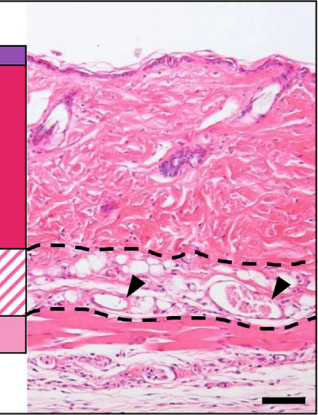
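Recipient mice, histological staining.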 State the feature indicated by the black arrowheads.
microvessels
